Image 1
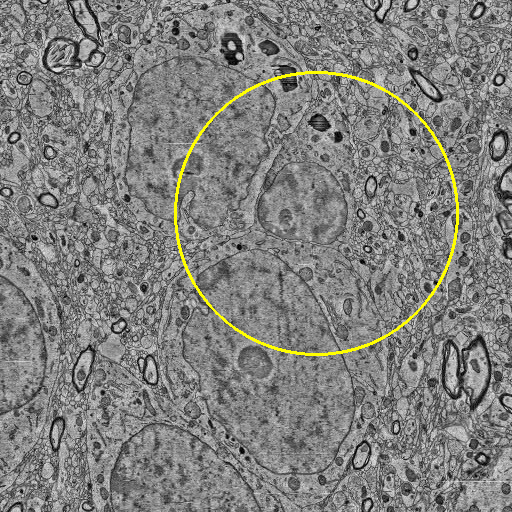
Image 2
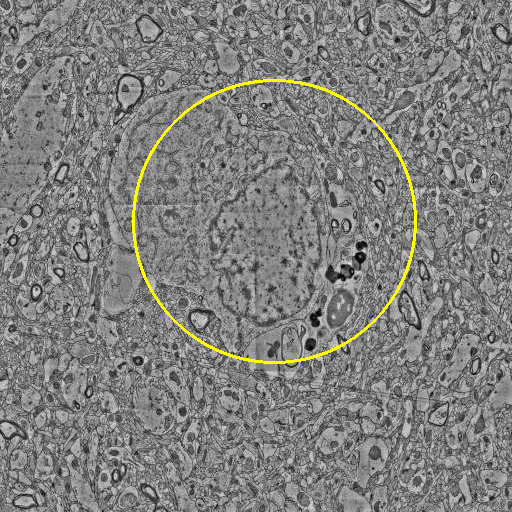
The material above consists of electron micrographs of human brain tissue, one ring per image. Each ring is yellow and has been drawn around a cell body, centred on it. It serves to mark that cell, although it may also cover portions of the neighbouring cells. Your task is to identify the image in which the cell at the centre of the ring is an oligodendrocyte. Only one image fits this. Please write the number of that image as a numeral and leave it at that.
1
